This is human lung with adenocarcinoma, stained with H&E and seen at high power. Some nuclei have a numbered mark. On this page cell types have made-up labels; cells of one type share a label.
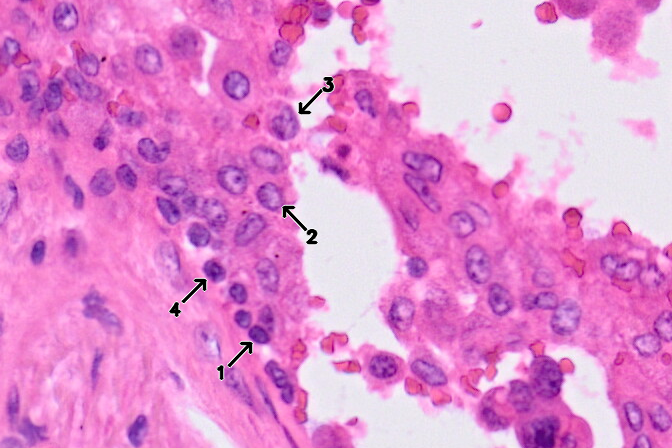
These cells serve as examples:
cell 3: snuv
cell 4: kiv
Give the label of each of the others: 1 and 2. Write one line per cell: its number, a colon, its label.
1: kiv
2: snuv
